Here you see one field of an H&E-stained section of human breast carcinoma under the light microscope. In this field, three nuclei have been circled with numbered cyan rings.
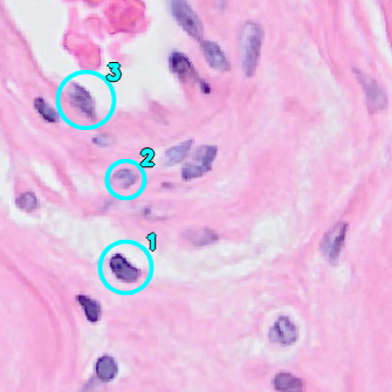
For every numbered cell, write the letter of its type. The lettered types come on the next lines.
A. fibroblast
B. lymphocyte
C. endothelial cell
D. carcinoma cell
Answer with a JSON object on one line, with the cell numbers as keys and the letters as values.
{"1": "B", "2": "C", "3": "C"}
